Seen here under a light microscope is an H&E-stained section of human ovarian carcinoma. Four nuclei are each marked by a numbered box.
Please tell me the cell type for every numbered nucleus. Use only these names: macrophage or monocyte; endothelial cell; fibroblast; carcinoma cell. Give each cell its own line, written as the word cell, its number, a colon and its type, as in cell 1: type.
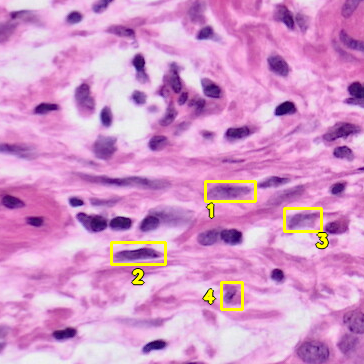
cell 1: fibroblast
cell 2: fibroblast
cell 3: fibroblast
cell 4: macrophage or monocyte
